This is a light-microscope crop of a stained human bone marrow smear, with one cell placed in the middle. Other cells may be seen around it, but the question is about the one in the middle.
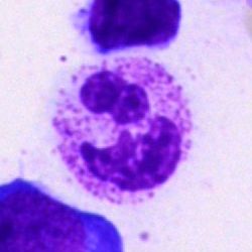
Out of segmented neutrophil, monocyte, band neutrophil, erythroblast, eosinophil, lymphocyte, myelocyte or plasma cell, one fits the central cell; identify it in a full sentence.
The cell in the middle of the field of view is a segmented neutrophil.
